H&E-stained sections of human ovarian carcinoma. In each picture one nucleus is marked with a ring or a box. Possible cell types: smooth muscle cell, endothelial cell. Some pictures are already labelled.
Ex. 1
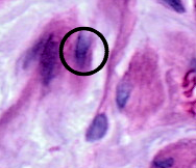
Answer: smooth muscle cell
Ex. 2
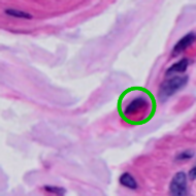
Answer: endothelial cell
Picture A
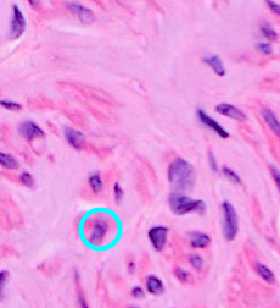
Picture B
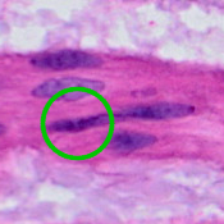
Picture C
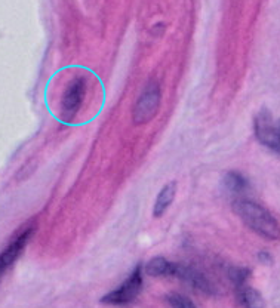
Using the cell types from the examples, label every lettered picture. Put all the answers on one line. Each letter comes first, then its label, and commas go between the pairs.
A smooth muscle cell, B smooth muscle cell, C smooth muscle cell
